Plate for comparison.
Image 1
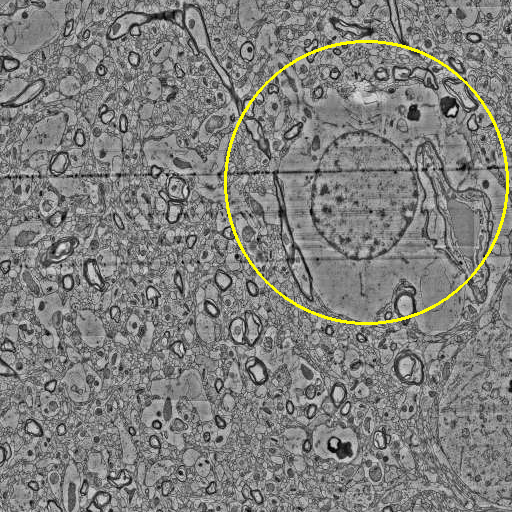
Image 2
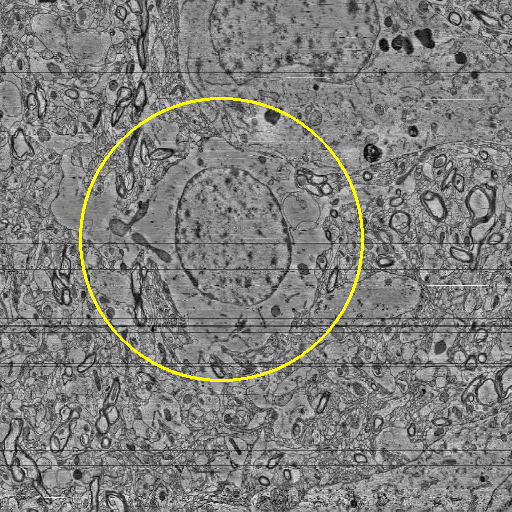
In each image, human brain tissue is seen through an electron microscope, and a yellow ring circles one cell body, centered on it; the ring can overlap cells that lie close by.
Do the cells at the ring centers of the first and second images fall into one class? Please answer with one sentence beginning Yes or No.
Yes, the first and second images show a single class of cell at the ring centers.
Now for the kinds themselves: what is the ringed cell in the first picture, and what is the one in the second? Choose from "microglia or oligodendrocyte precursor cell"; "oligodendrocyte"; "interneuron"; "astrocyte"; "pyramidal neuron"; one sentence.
In the first picture and in the second, the ring is centred on an astrocyte.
